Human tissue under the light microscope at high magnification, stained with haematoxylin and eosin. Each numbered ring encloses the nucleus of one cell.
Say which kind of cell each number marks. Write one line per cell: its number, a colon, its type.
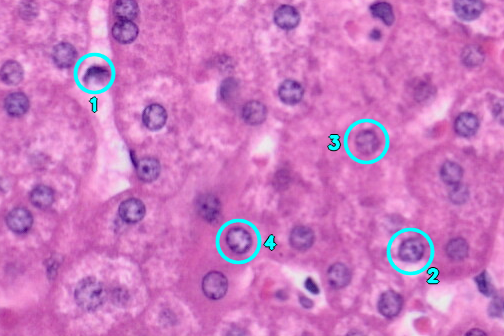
1: endothelial cell
2: hepatocyte
3: hepatocyte
4: hepatocyte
